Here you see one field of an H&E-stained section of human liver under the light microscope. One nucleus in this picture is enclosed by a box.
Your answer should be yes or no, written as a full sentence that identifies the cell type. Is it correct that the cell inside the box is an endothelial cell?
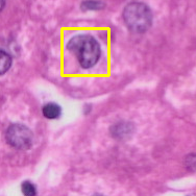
No, it is not an endothelial cell but a hepatocyte that the cell inside the box represents.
